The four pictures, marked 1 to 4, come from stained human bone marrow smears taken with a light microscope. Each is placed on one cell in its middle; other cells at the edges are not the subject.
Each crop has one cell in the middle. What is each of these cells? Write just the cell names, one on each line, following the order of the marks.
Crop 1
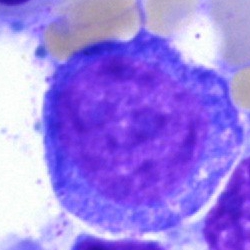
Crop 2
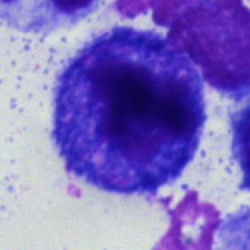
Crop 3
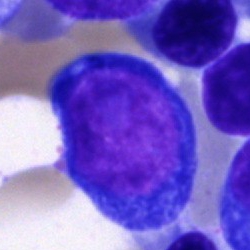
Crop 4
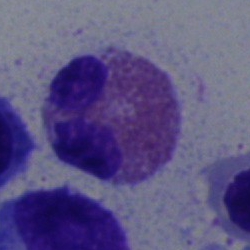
proerythroblast
promyelocyte
proerythroblast
eosinophil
